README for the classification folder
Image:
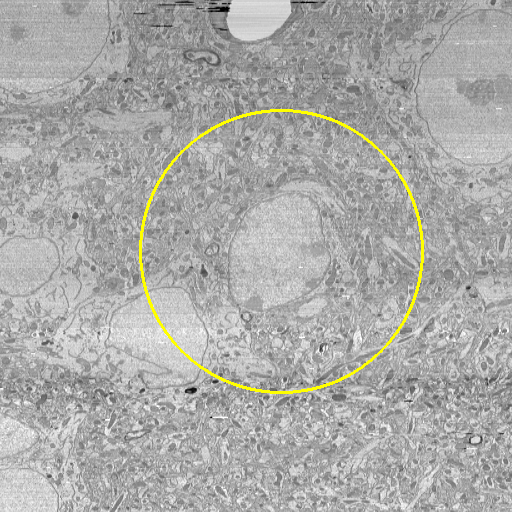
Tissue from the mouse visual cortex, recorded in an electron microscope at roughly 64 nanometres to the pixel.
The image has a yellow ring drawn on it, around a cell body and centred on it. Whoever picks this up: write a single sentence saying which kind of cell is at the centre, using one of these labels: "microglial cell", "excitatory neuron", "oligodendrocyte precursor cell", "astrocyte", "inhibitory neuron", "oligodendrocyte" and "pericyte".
This cell body is that of an astrocyte.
